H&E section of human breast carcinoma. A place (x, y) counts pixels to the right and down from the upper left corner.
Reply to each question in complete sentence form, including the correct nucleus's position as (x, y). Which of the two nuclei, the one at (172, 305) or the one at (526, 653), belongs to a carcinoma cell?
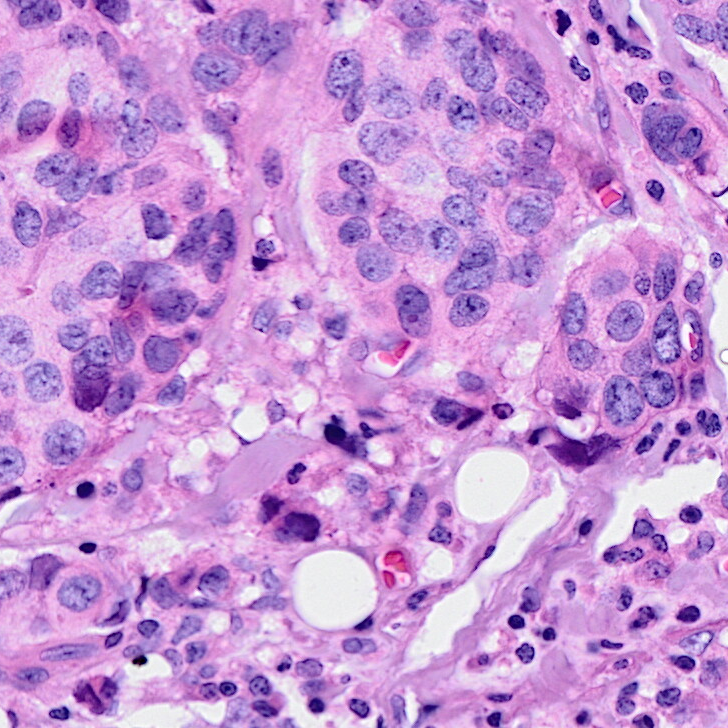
Of the pair, the nucleus positioned at (172, 305) is that of a carcinoma cell.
